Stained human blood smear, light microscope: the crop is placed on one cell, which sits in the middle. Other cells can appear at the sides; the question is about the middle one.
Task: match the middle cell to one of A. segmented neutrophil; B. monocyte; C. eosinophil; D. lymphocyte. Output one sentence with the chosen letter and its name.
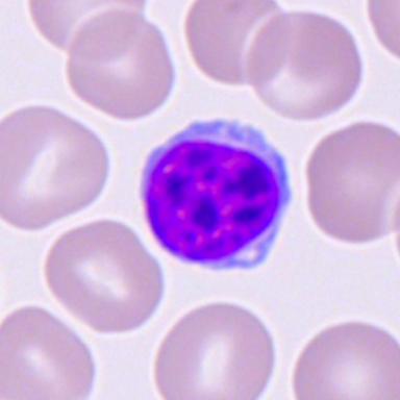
The cell in the middle is correctly identified as a lymphocyte in option D.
